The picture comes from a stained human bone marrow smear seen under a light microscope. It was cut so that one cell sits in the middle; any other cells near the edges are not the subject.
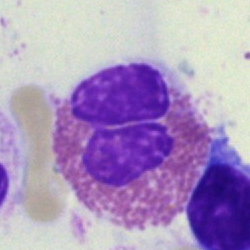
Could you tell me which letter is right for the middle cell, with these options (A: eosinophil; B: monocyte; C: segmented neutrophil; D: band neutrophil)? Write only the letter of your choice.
A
